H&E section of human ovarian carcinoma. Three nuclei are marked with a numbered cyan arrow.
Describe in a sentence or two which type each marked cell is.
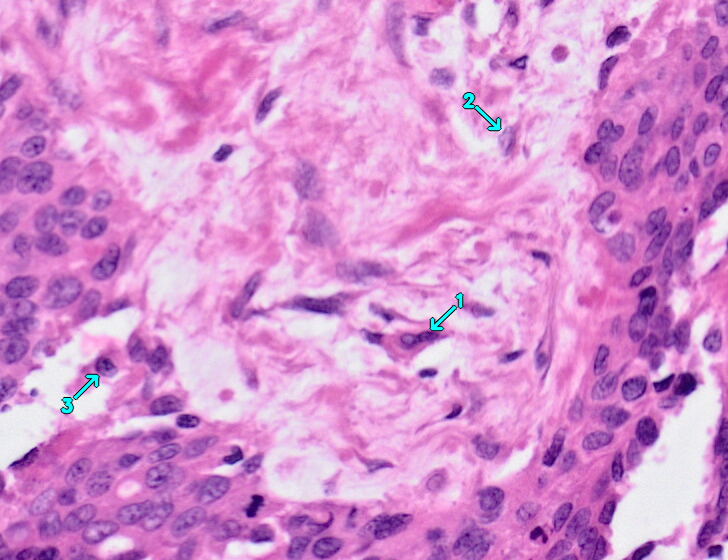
Cell 1 is an endothelial cell, cell 2 is a fibroblast and cell 3 is a macrophage or monocyte.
